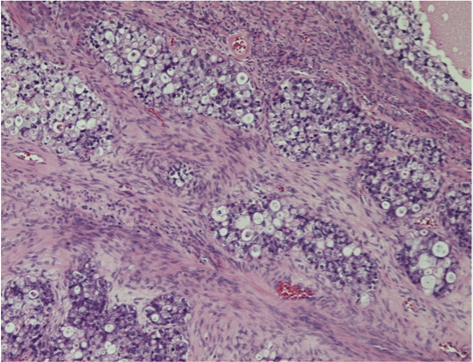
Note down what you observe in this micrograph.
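The tumor cells have pale, empty-looking or bubbly cytoplasm, with many clear vacuoles, and dark purple nuclei. The nests are separated by broad bands of pink fibrous stroma containing elongated spindle-shaped cells, running between the clusters. Small vessels with red blood cells lie in the stroma. Some clusters show small cystic spaces, and at the upper right edge a larger open space is visible beside the tumor.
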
